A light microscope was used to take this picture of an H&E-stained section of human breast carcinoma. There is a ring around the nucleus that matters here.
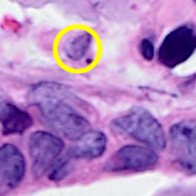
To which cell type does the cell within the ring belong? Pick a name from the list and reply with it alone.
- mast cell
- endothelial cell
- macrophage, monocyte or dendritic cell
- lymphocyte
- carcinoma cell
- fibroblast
macrophage, monocyte or dendritic cell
